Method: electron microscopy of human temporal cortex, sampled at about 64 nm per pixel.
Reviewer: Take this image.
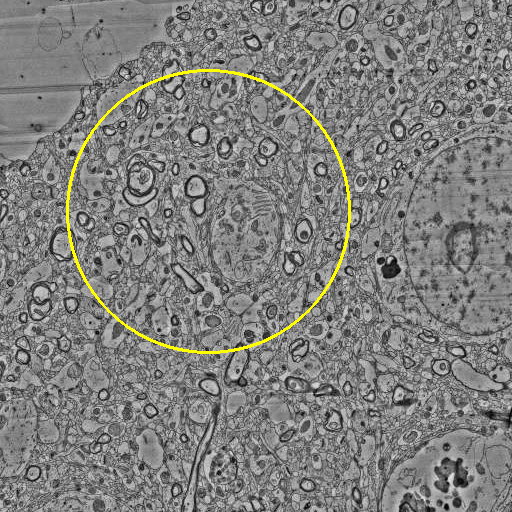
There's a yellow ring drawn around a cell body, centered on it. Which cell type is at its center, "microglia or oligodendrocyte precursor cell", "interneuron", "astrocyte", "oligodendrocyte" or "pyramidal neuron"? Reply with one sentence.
At the center of the yellow ring is a microglial cell or oligodendrocyte precursor cell.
